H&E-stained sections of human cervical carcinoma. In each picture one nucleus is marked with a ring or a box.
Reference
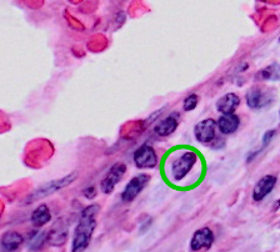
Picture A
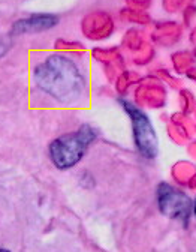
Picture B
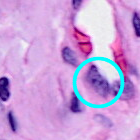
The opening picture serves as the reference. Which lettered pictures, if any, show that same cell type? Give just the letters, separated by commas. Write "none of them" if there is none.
none of them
